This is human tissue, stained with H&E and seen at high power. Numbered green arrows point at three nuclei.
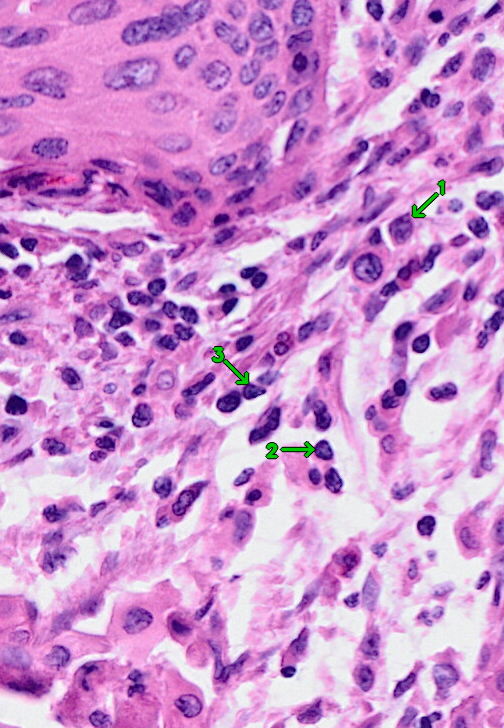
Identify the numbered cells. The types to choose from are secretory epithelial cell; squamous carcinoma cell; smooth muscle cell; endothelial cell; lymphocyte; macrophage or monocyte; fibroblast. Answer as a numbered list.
1. macrophage or monocyte
2. lymphocyte
3. lymphocyte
